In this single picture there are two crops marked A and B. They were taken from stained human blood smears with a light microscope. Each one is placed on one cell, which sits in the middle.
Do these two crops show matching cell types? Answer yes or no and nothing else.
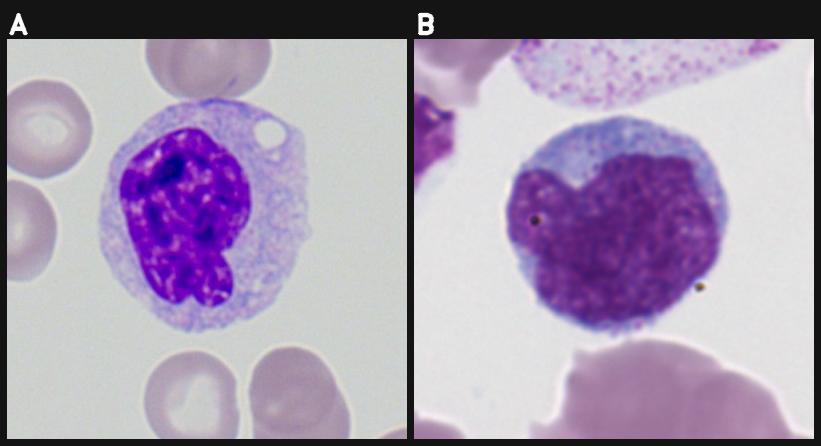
yes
